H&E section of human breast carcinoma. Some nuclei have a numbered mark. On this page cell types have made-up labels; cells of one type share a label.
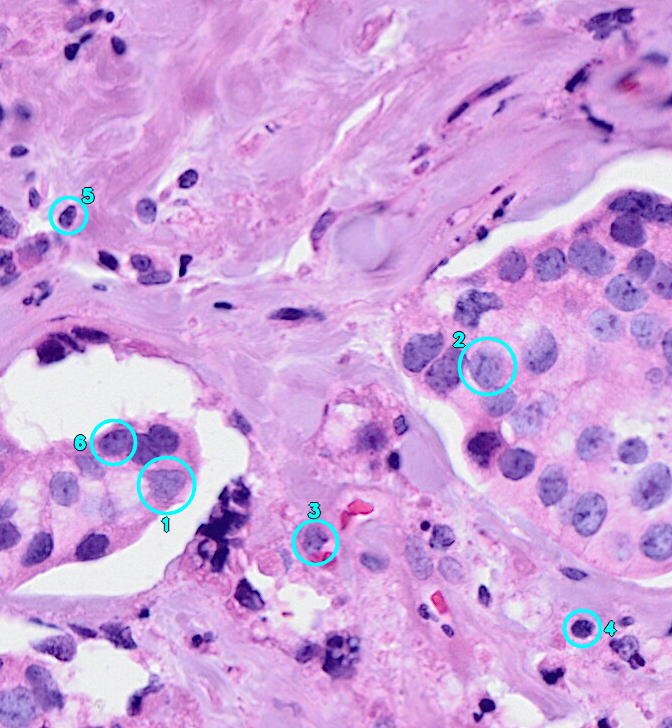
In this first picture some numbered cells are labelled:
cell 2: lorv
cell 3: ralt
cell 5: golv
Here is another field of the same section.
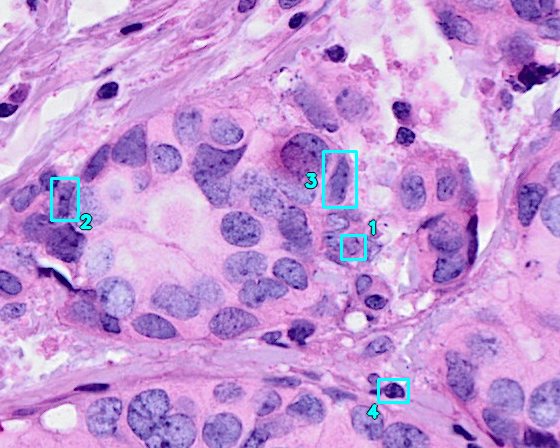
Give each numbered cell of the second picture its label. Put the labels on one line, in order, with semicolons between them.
ralt; lorv; lorv; golv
